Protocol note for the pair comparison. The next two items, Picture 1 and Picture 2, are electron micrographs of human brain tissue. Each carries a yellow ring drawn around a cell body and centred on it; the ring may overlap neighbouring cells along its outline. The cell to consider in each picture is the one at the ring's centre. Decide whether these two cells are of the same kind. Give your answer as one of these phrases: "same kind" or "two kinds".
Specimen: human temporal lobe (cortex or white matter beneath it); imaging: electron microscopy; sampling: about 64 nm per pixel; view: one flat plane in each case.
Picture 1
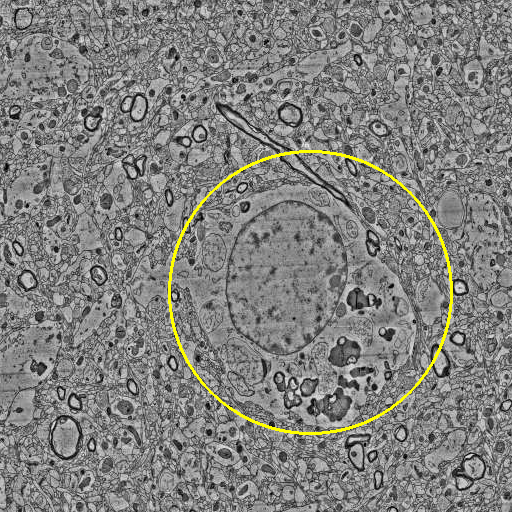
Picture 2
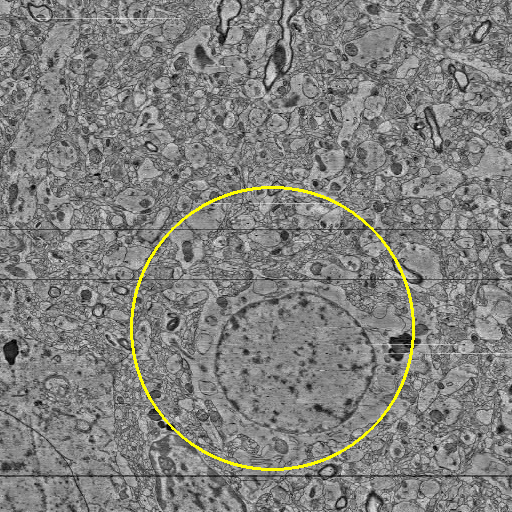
same kind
